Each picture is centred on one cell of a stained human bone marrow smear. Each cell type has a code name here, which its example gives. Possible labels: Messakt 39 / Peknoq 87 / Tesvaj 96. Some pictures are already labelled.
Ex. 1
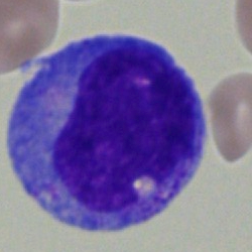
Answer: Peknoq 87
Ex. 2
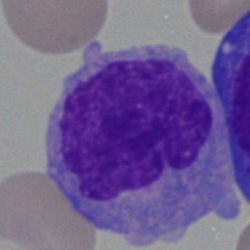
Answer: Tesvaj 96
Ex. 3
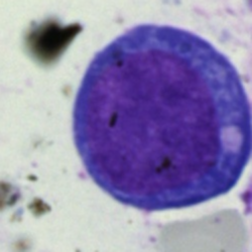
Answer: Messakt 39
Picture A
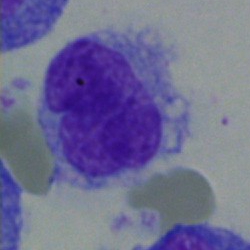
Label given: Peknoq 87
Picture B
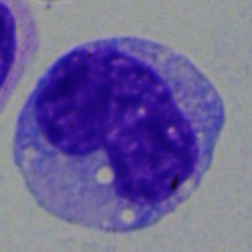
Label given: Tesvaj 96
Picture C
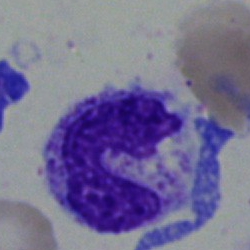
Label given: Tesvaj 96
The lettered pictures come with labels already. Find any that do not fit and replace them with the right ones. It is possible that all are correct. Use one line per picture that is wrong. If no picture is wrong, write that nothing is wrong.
A: Tesvaj 96, not Peknoq 87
